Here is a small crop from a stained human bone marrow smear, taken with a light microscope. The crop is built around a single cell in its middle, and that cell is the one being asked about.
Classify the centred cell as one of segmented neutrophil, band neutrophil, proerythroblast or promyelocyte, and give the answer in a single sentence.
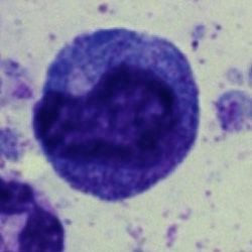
The central cell, amid any neighbouring cells, is a promyelocyte.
